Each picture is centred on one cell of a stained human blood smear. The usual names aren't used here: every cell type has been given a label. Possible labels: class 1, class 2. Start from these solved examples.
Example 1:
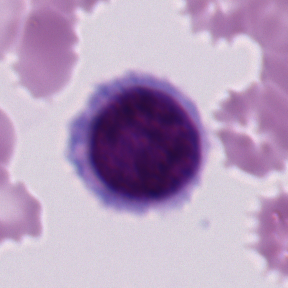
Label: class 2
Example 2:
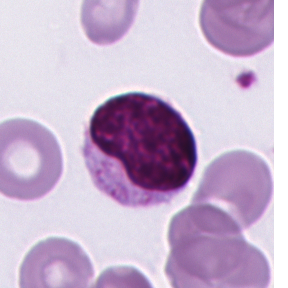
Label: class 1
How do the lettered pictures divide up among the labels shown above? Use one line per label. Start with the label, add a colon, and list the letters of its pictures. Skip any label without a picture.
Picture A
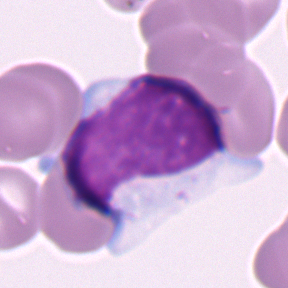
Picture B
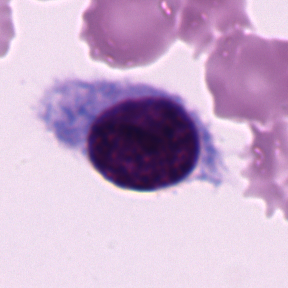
class 1: A
class 2: B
